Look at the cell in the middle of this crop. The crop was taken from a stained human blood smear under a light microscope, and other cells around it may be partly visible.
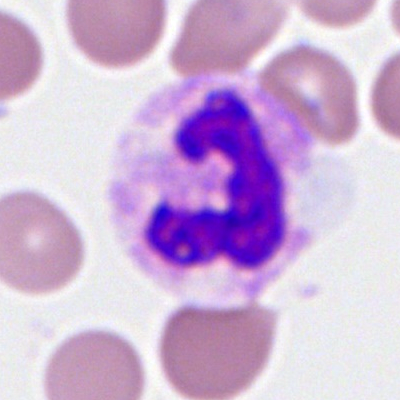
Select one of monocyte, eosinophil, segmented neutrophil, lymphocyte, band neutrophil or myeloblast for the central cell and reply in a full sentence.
Whatever else lies nearby, the middle cell is a segmented neutrophil.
